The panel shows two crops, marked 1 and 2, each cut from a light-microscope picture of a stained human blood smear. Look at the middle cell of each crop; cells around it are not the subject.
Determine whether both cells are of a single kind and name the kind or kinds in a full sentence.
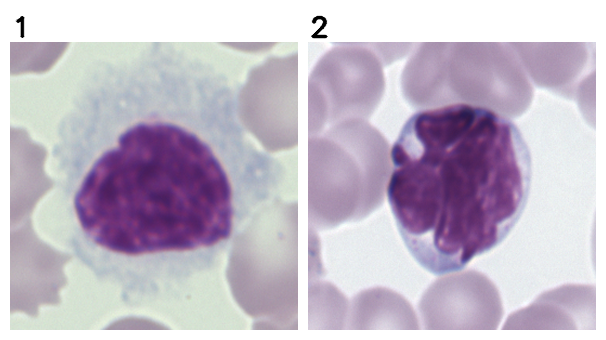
No, crop 1 shows a hairy cell and crop 2 a large granular lymphocyte.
